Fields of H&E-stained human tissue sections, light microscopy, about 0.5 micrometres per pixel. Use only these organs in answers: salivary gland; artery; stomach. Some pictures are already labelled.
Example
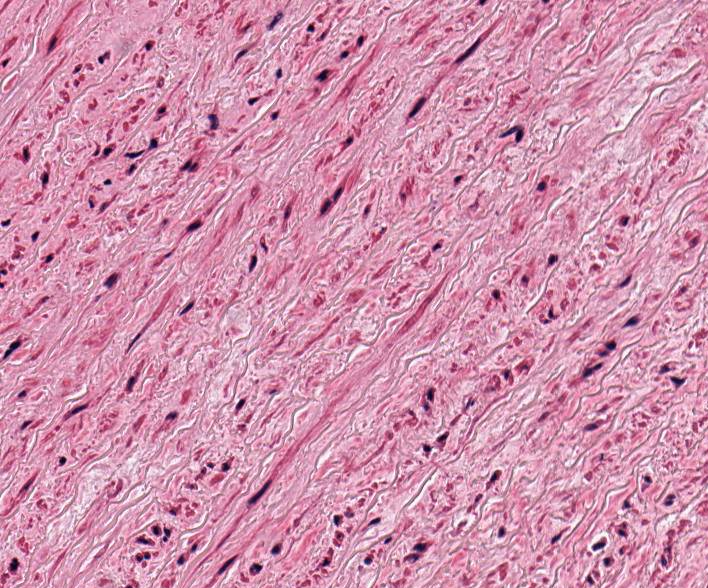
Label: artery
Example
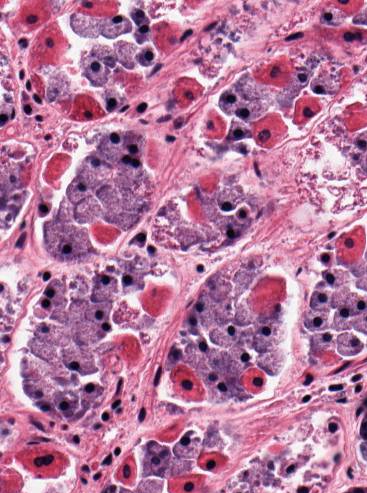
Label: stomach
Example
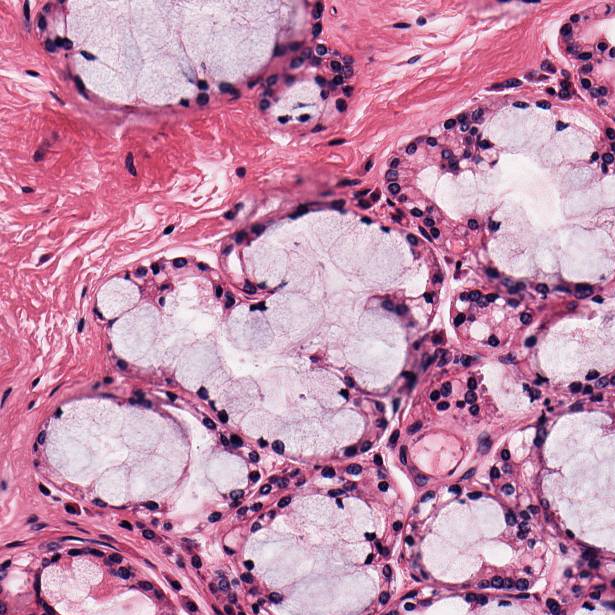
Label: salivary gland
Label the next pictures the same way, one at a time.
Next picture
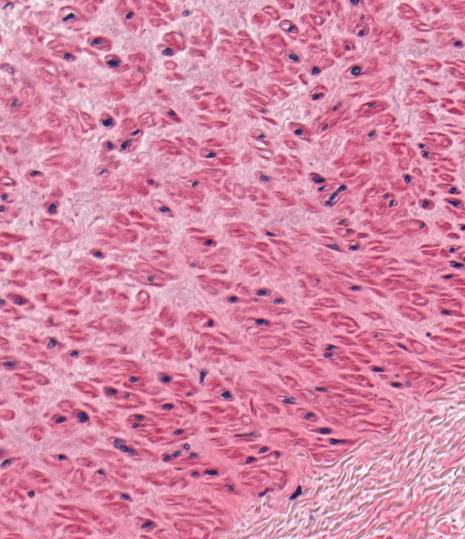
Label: artery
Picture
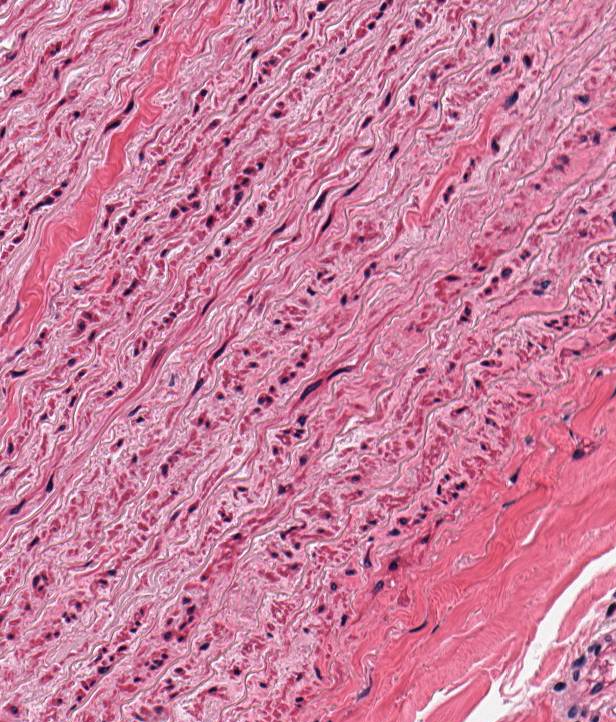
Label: artery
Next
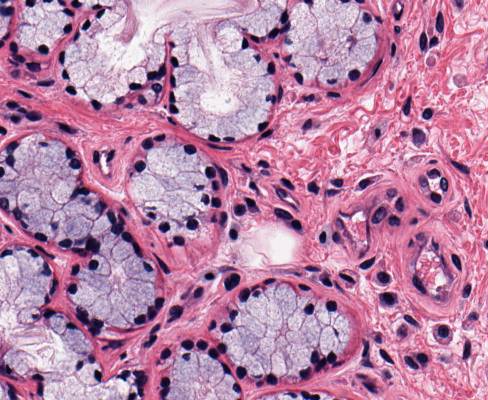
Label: salivary gland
